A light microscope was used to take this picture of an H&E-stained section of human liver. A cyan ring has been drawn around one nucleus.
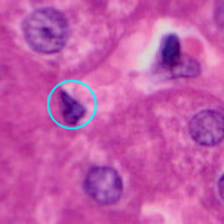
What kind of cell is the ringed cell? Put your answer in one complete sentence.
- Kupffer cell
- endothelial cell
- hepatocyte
For the purposes of cell typing, the ringed cell is categorized as an endothelial cell.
